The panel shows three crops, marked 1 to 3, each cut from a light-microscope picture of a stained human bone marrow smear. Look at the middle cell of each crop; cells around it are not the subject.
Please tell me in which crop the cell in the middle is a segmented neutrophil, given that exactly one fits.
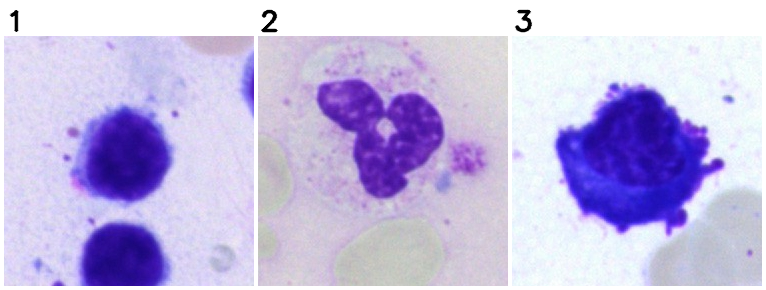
2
